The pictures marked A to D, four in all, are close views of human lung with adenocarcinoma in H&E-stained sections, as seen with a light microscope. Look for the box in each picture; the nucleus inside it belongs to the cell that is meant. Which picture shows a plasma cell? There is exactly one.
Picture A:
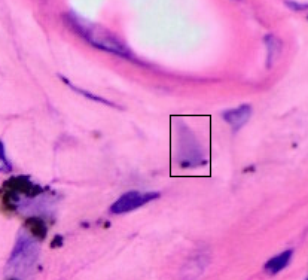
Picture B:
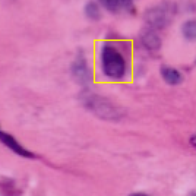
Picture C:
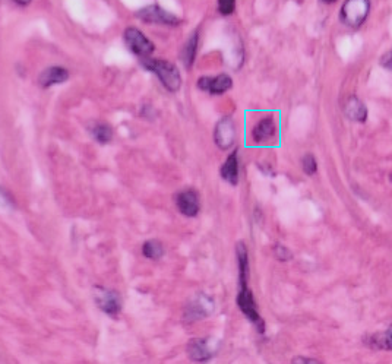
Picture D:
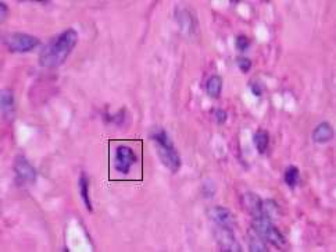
B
